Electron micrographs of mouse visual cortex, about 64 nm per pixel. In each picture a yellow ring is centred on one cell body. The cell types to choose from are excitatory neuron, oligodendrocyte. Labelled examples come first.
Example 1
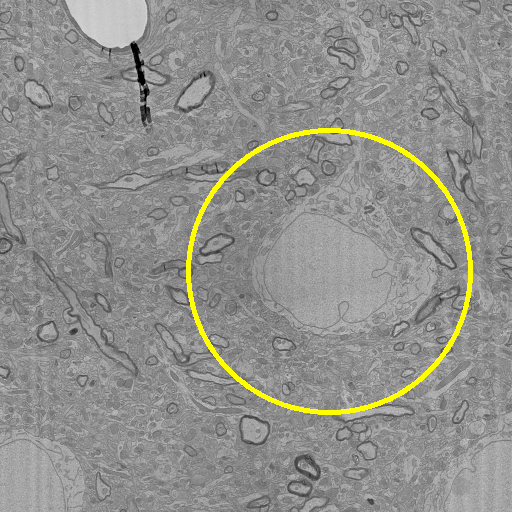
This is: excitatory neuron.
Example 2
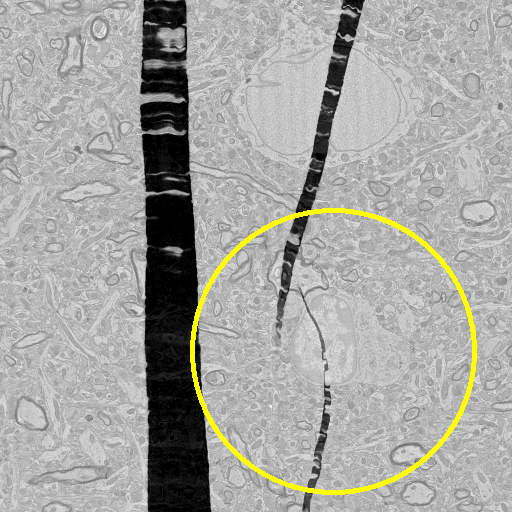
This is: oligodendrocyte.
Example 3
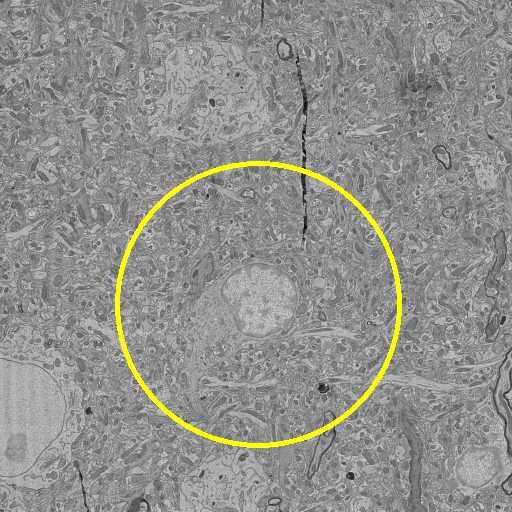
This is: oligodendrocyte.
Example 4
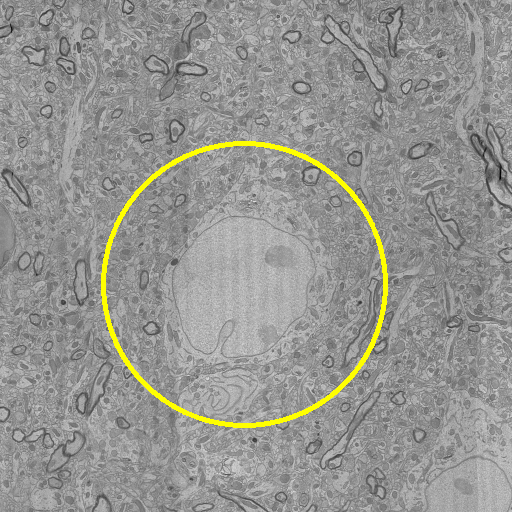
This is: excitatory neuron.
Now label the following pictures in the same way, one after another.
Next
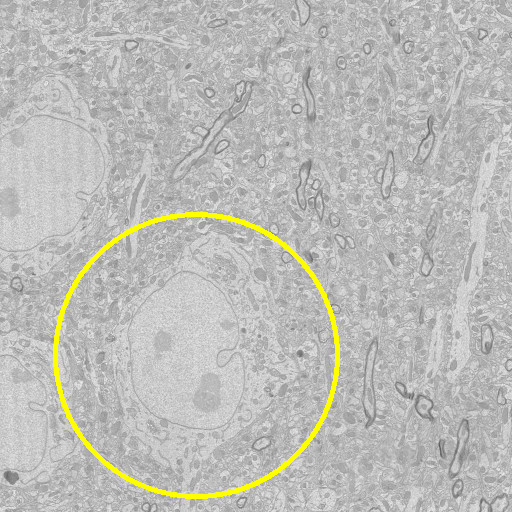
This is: excitatory neuron.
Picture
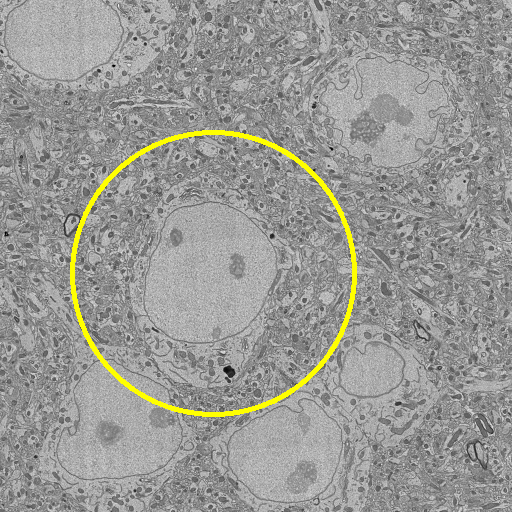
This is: excitatory neuron.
